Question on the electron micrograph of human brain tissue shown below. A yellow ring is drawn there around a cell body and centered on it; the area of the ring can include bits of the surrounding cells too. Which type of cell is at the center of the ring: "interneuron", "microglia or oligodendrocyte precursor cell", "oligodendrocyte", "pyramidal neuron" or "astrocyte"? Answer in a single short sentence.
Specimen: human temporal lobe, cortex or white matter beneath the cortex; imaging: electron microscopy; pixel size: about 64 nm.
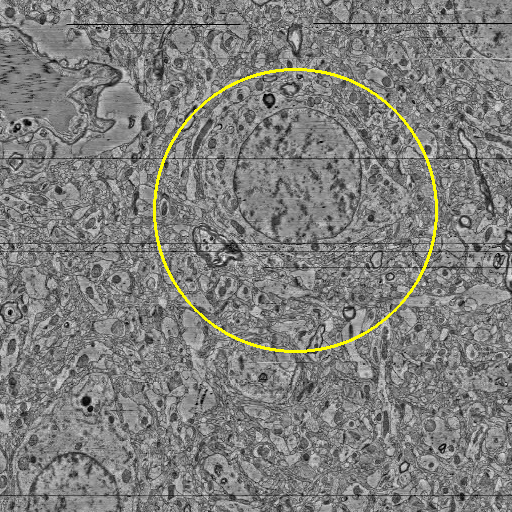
The ring is centered on a pyramidal neuron.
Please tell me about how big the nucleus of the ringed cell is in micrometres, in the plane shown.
The nucleus measures about 9 micrometers across in this plane.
